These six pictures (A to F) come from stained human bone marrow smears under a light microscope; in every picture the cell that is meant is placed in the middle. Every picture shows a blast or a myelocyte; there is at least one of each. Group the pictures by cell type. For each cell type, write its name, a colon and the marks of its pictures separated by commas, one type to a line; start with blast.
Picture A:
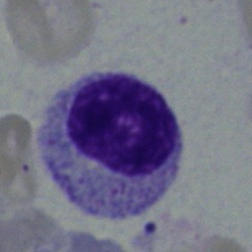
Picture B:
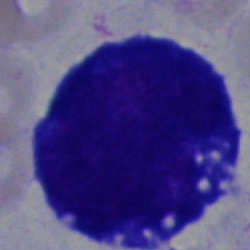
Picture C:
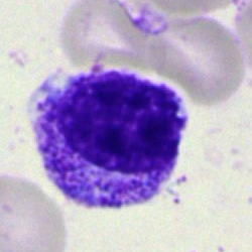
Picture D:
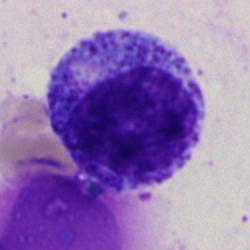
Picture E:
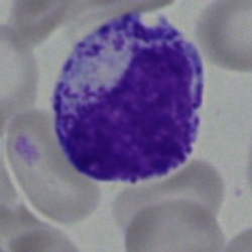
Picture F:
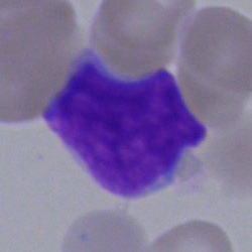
blast: B, F
myelocyte: A, C, D, E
